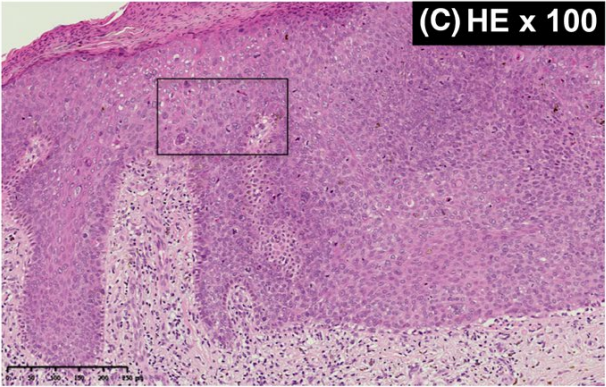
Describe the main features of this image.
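This is skin whose epidermis is greatly thickened and densely packed with atypical keratinocytes throughout its full height. The basophilic cells lie crowded and disordered from the base up to the thin keratin layer on the surface, and broad tongues of epidermis reach down into the dermis. The dermis below and between them is paler and pink, with scattered small cells.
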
